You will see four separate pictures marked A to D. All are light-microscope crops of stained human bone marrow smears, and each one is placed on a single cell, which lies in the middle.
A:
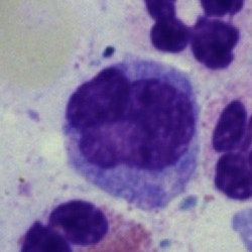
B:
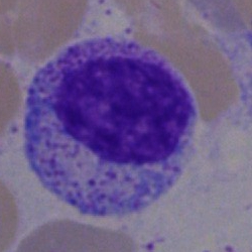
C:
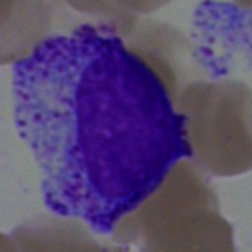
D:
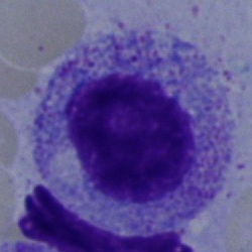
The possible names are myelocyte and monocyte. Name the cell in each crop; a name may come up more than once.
A: monocyte
B: myelocyte
C: myelocyte
D: myelocyte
